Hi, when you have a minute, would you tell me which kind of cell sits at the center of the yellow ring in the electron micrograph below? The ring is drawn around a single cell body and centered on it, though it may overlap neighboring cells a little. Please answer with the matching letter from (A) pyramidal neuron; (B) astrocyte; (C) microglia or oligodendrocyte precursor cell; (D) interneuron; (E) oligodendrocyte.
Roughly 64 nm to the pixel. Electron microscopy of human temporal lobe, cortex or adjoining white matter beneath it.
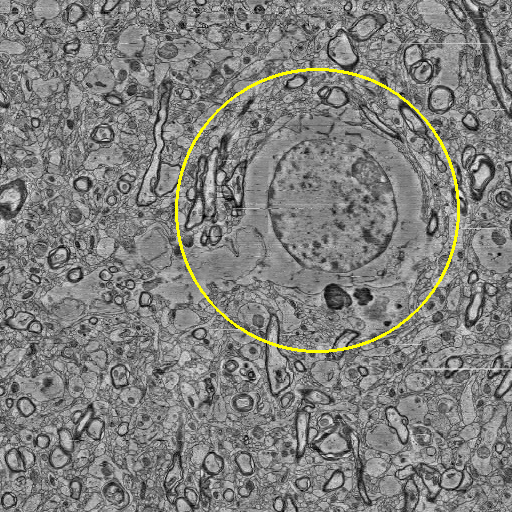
B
